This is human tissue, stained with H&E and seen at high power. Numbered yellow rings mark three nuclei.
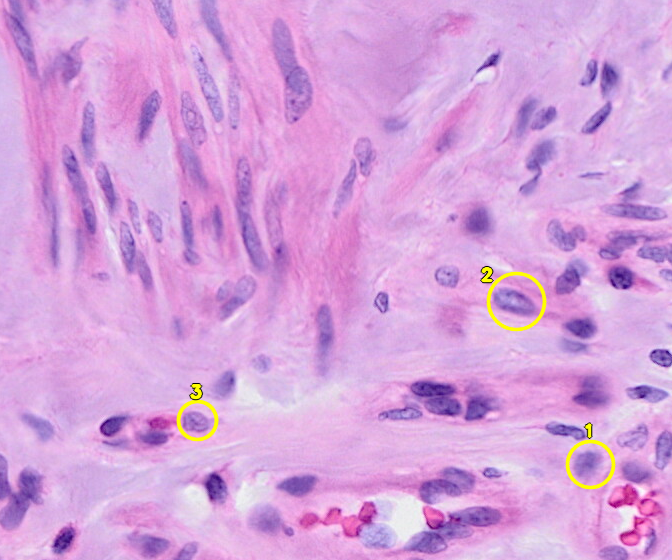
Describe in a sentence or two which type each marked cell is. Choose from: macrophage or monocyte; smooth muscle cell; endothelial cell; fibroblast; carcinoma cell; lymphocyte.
Cell 1 is a fibroblast, cell 2 is an endothelial cell and cell 3 is an endothelial cell.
